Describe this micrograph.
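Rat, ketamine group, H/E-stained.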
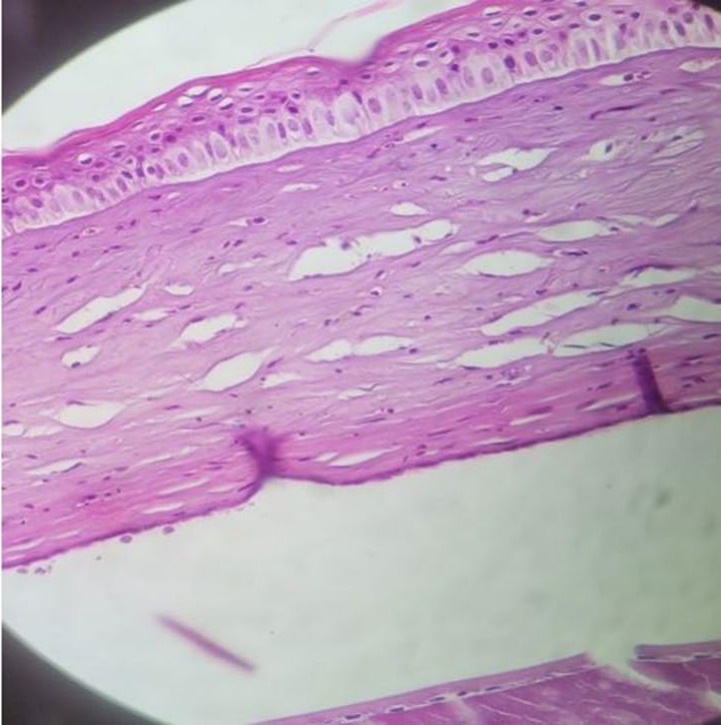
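A multilayered epithelium covers the top, and many of its cells are rounded with pale, clear cytoplasm around purple nuclei. Beneath it the pink stroma is made of wavy lamellae separated by many wide, empty clefts, with numerous small elongated nuclei scattered among them. A thin pink layer with flat nuclei runs along the lower surface. The picture fits an edematous epithelium over a stroma that holds more cells than usual.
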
